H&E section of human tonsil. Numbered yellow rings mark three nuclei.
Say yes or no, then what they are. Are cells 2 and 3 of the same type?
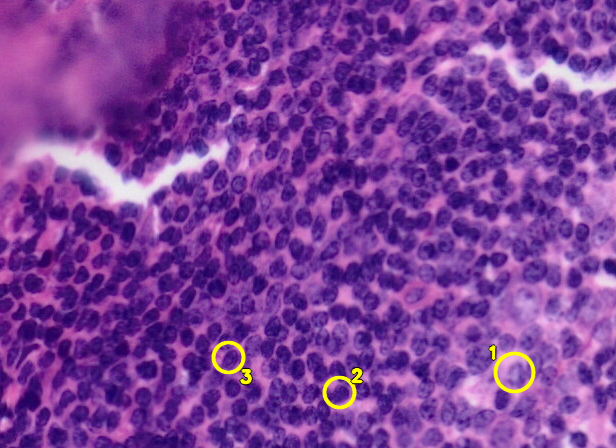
Yes, both are small lymphocytes.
